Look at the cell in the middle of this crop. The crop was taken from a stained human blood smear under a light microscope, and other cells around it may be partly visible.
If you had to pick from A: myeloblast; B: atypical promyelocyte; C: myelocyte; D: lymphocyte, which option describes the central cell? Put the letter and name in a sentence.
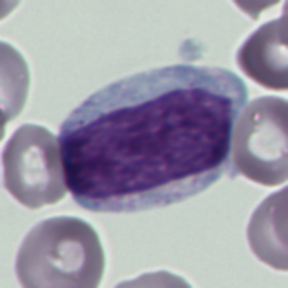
Since the cell in the middle is a myelocyte, option C is correct.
